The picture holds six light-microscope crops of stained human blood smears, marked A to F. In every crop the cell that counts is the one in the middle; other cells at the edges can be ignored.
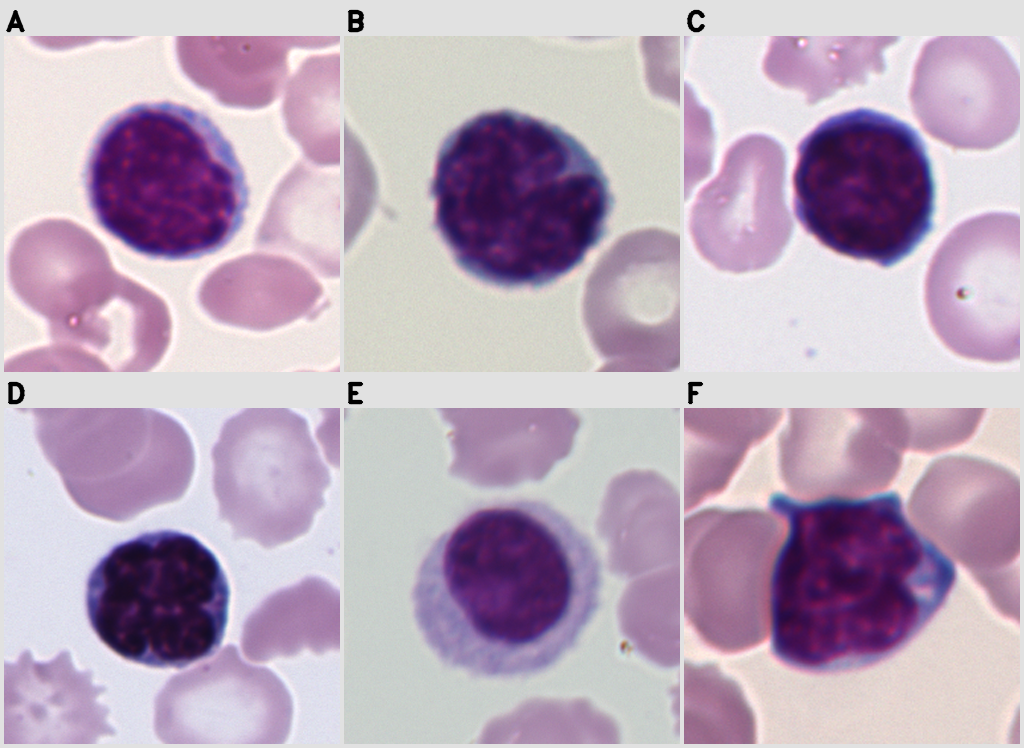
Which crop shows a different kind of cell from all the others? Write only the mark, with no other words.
E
